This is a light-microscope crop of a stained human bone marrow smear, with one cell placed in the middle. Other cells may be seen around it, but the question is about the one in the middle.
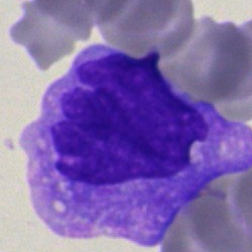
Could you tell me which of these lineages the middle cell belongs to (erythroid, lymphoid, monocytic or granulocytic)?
monocytic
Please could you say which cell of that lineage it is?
monocyte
